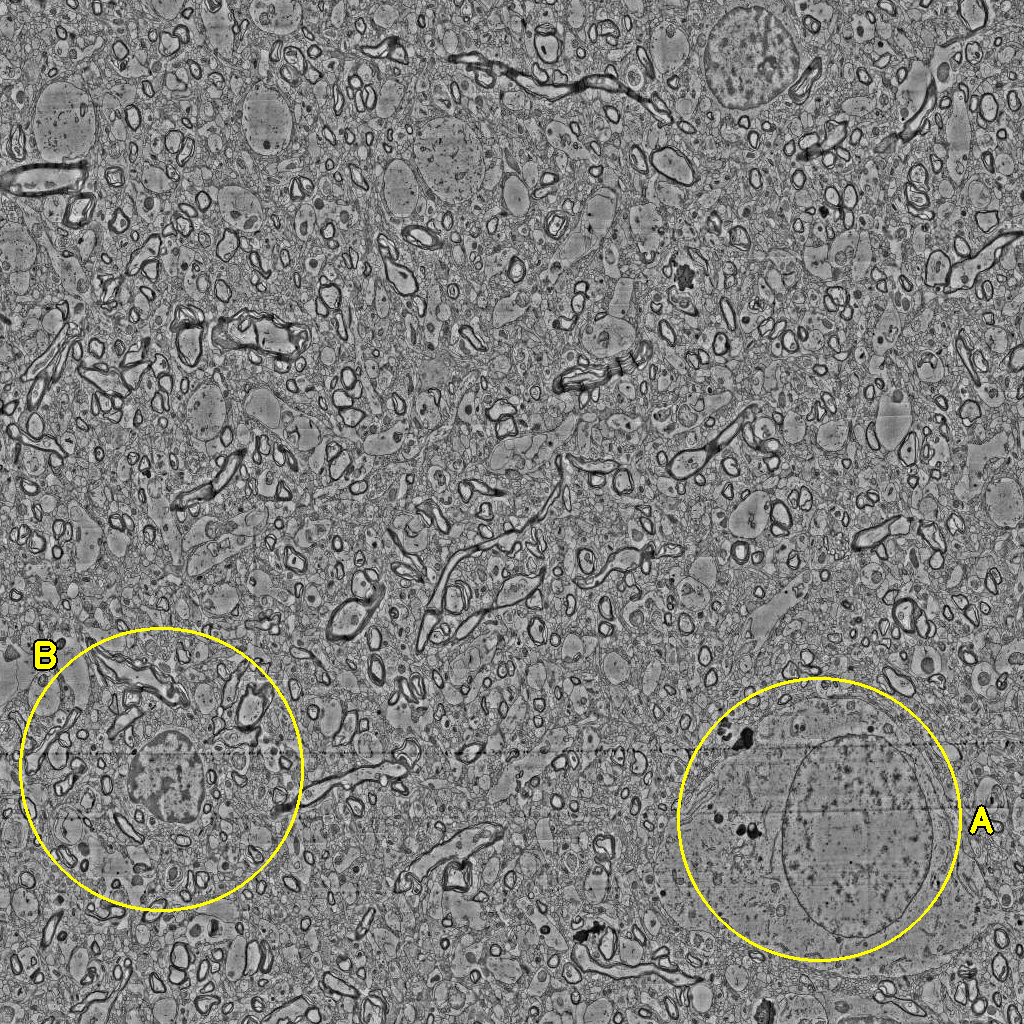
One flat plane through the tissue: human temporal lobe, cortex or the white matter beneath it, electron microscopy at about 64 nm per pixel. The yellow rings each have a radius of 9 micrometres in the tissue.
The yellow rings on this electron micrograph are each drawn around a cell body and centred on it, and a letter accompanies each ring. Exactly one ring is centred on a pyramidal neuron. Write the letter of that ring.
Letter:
A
